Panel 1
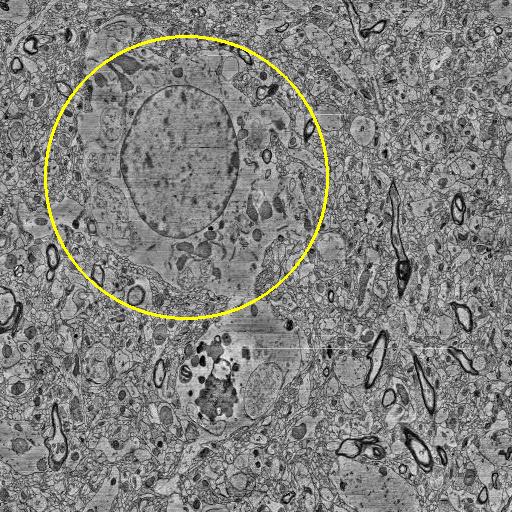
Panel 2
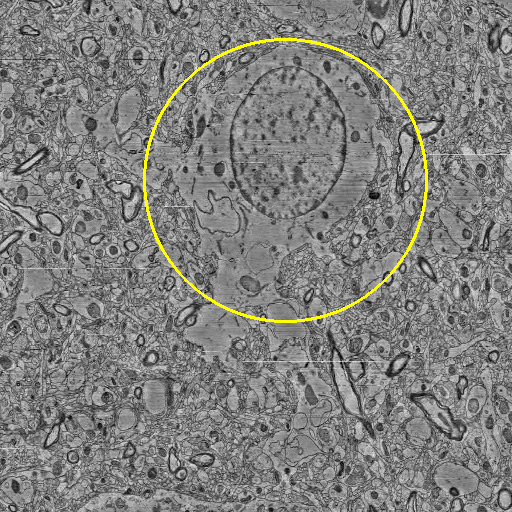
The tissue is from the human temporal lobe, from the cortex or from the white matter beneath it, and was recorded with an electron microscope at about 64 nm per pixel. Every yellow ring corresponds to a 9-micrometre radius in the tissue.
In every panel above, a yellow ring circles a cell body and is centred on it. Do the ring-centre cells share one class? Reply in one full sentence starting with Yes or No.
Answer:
Yes, the two cells at the ring centres in the panels belong to one class.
